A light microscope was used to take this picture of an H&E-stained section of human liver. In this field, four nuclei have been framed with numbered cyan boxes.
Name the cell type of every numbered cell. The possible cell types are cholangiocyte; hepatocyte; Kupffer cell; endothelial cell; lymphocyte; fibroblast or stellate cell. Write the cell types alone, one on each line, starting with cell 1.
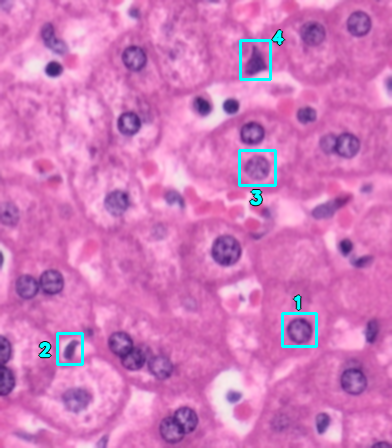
hepatocyte
endothelial cell
hepatocyte
fibroblast or stellate cell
